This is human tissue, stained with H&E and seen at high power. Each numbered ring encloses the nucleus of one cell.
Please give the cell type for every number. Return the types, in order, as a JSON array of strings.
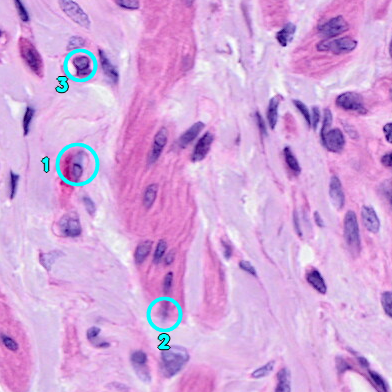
["endothelial cell", "smooth muscle cell", "endothelial cell"]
